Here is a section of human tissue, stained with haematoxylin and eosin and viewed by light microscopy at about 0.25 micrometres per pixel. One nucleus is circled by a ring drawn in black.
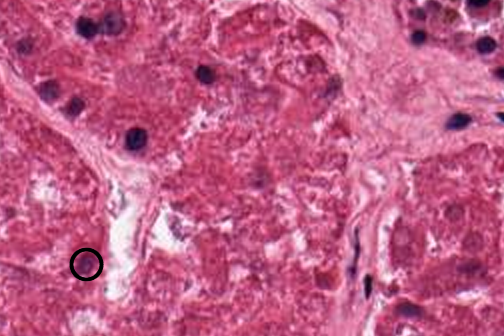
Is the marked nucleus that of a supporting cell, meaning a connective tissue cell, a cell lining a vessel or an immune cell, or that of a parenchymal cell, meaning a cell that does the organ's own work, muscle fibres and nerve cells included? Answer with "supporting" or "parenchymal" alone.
parenchymal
